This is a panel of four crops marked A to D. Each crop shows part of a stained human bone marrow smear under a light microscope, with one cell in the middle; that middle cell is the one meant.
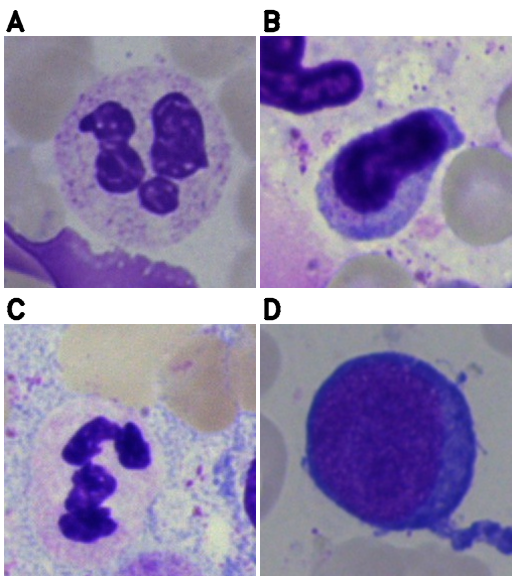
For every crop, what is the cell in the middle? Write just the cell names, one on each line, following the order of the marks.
segmented neutrophil
band neutrophil
segmented neutrophil
proerythroblast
